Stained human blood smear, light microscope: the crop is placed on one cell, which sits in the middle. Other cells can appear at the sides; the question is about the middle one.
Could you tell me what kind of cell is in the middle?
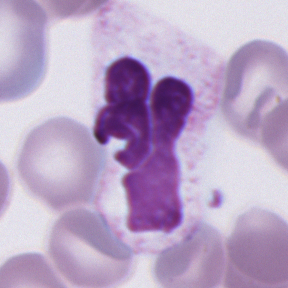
segmented neutrophil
